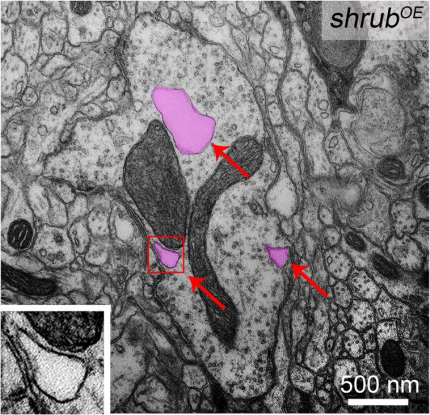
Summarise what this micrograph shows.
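A synaptic bouton in the neuropil contains a field of small round vesicles and two elongated mitochondria with dense cristae running through its middle. Three irregular, membrane-bound compartments shaded pink lie among the vesicles, the largest above the mitochondria and smaller ones beside them. The inset shows one of these with a pale lumen and a clear bounding membrane. Smaller profiles of neuronal processes surround the bouton.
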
